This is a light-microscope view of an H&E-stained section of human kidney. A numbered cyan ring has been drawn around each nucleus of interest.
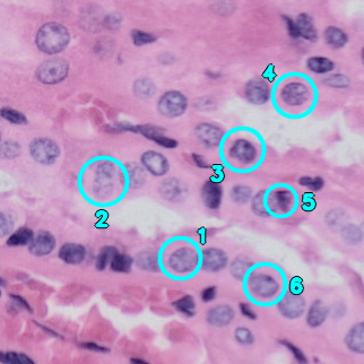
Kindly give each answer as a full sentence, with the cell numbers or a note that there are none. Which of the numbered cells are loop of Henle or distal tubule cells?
The cells with the number labels 3 and 4 are loop of Henle or distal tubule cells.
